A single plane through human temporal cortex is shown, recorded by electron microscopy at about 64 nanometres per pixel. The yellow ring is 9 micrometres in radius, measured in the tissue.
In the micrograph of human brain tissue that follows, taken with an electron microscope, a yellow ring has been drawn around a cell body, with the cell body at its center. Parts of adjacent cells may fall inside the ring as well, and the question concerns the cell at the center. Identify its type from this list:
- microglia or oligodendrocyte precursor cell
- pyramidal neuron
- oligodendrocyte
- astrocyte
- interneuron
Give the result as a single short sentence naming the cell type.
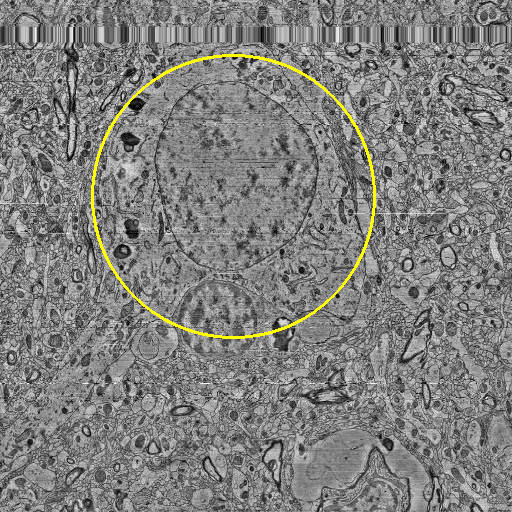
The ring is centered on a pyramidal neuron.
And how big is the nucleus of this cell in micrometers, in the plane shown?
Roughly 12 by 10 micrometres is the size of the nucleus in this plane.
